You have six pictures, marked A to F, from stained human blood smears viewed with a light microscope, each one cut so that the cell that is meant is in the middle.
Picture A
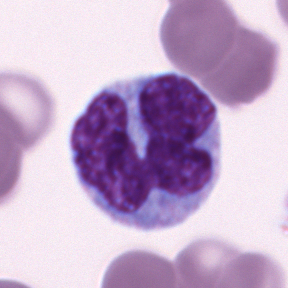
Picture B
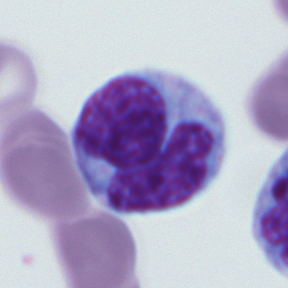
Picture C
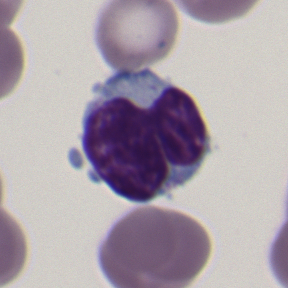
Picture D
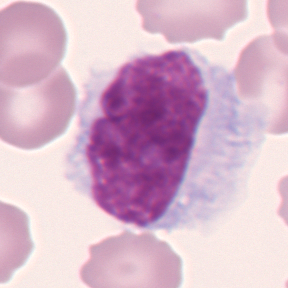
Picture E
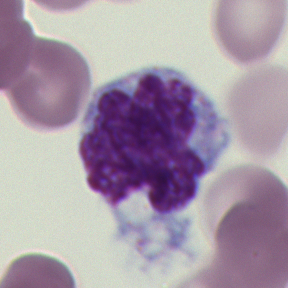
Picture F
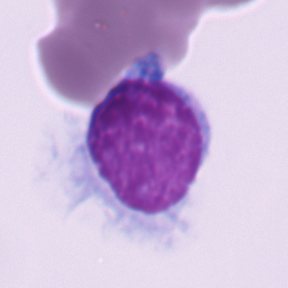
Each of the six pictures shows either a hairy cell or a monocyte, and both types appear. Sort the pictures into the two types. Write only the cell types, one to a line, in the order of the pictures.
monocyte
monocyte
monocyte
hairy cell
monocyte
hairy cell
